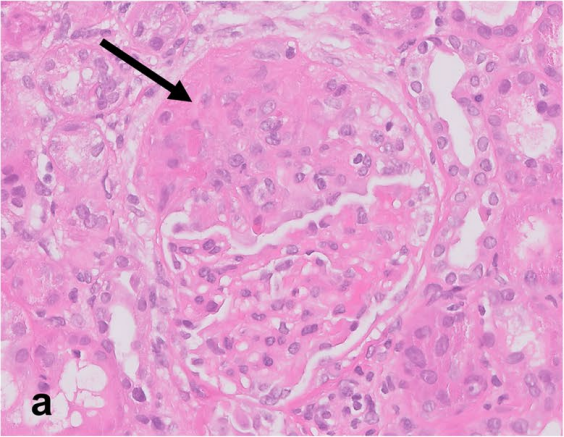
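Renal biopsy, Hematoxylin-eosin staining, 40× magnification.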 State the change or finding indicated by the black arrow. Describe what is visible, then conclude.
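A crescent-shaped layer of cells and pink matrix fills Bowman's space around the tuft. The glomerular tuft is compressed to one side by this layer. On this evidence: fibrocellular crescent.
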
